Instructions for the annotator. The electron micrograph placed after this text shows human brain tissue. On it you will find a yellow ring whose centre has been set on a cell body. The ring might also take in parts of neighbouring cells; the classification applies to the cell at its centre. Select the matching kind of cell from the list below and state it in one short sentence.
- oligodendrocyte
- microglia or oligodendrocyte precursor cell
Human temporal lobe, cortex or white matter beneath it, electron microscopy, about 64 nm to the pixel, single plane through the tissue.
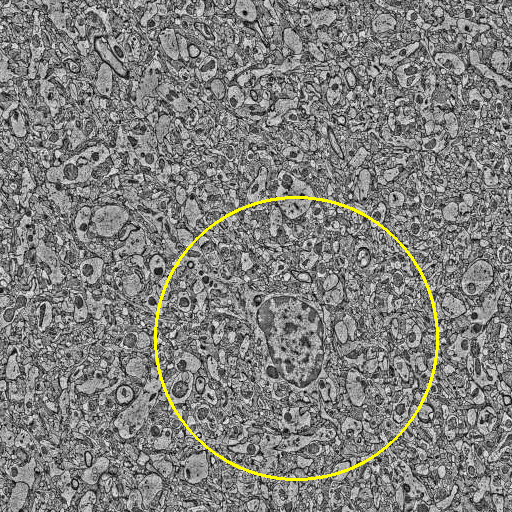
The ring is drawn on the cell body of a microglial cell or oligodendrocyte precursor cell.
